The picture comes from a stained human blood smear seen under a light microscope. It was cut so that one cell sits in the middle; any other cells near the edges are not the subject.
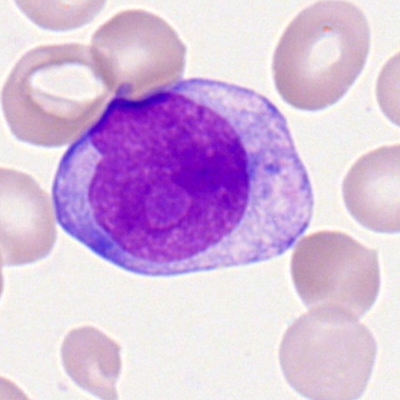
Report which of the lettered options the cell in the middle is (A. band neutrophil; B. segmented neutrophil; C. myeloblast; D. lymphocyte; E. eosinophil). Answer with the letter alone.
C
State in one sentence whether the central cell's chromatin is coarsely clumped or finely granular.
The chromatin is fine throughout, without coarse clumps.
